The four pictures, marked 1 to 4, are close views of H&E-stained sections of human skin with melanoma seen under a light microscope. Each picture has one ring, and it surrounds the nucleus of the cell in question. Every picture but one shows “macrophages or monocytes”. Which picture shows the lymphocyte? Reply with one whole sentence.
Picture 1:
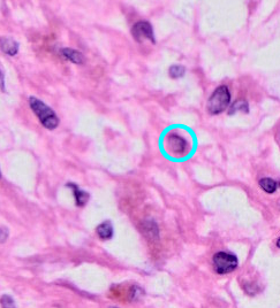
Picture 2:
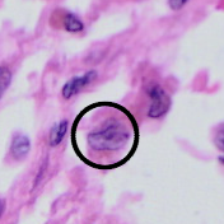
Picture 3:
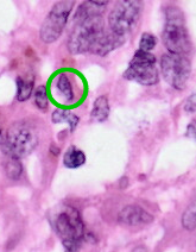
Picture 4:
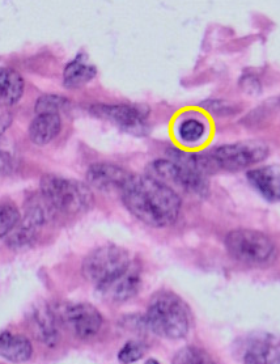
It is picture 4 that shows the lymphocyte.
